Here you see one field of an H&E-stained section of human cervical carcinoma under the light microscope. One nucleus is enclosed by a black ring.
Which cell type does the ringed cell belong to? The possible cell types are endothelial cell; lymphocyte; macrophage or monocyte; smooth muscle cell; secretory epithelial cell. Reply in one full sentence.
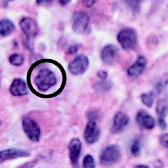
Assigned to a cell type, the ringed cell is a lymphocyte.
